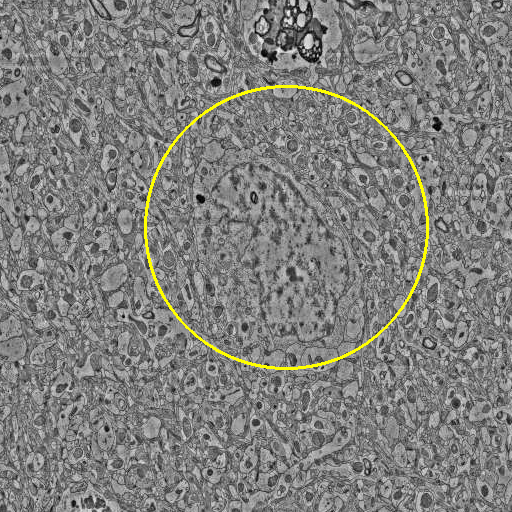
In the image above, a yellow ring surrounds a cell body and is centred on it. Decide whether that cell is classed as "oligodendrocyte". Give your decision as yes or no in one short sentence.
No, it belongs to another kind of cell.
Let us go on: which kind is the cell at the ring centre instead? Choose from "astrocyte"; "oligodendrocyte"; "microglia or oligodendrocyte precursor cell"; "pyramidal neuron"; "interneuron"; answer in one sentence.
The ringed cell in this picture is, instead, an interneuron.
